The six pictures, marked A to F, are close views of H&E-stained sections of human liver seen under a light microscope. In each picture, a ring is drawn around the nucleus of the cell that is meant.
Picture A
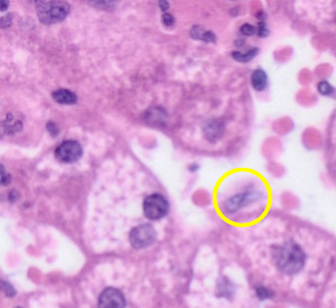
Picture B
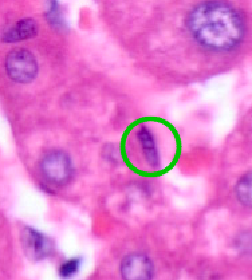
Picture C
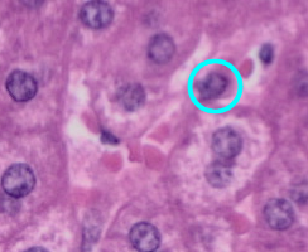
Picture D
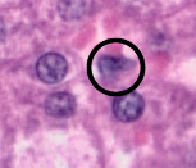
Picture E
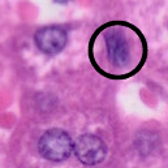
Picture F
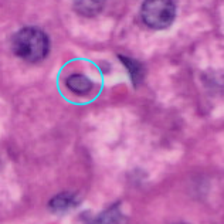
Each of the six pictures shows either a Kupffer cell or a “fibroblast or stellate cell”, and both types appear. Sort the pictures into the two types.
A: Kupffer cell
B: fibroblast or stellate cell
C: Kupffer cell
D: Kupffer cell
E: fibroblast or stellate cell
F: Kupffer cell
